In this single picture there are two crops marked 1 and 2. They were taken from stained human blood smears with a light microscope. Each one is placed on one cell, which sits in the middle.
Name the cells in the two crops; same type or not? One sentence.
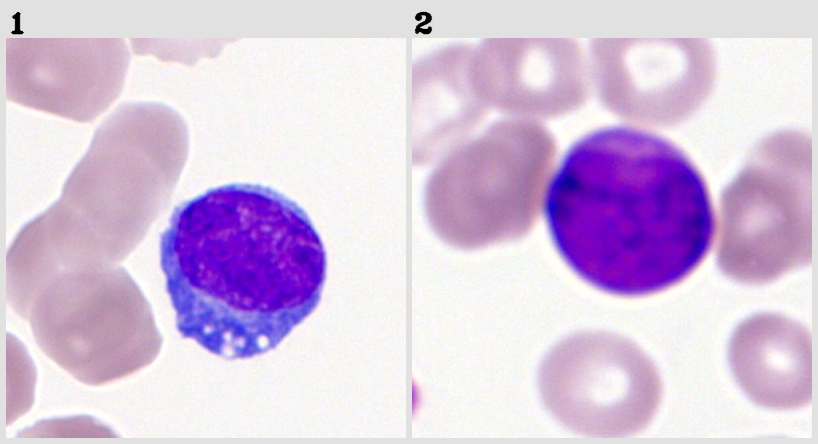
No, crop 1 should be called a lymphocyte, and crop 2 should be called a myeloblast.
